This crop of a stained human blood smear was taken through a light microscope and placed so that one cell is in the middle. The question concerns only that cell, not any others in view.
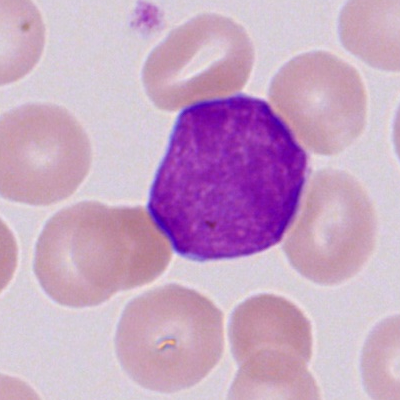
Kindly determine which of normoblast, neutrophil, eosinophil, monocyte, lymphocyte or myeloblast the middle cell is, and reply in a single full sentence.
What the crop centres on is a myeloblast.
